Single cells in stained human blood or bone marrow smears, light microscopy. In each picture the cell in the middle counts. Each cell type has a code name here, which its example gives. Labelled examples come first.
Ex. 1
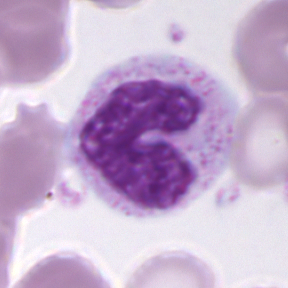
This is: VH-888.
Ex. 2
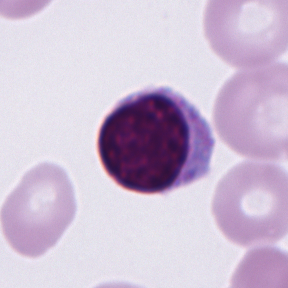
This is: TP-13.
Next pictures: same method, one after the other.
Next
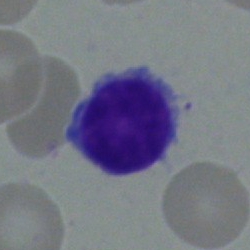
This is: TP-13.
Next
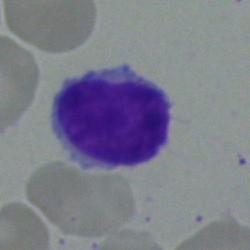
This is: TP-13.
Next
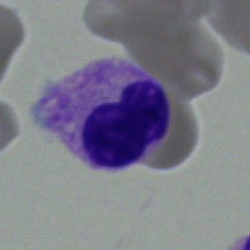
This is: VH-888.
